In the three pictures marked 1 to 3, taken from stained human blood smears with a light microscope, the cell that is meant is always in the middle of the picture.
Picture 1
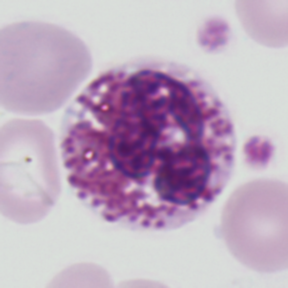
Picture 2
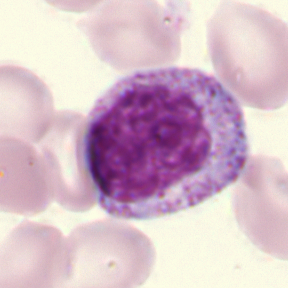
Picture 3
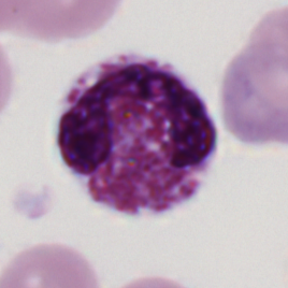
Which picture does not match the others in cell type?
2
